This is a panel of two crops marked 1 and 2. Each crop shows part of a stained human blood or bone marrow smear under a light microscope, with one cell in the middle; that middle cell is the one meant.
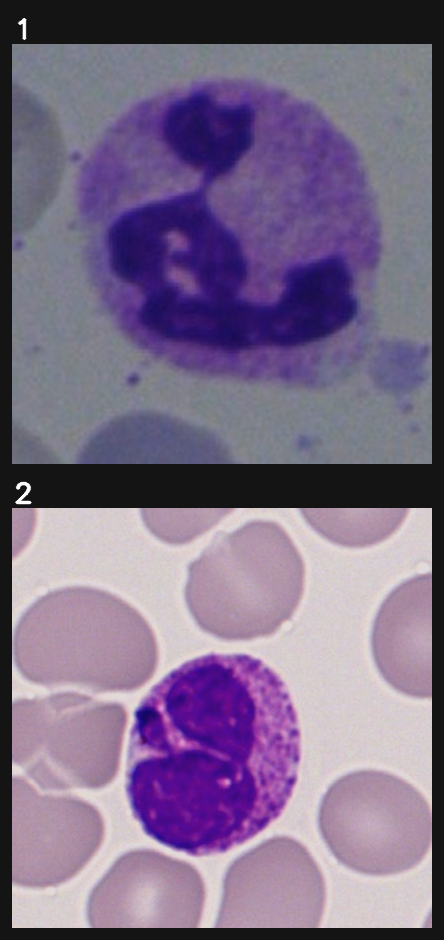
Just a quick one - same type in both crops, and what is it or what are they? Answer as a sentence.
No, a neutrophil lies at the centre of crop 1, and an eosinophil lies at the centre of crop 2.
